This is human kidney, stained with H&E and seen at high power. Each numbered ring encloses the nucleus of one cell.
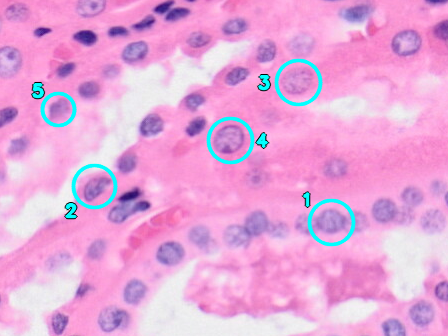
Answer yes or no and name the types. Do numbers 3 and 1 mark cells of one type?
No, cell 3 is to be identified as a proximal tubule cell and cell 1 as a collecting duct cell.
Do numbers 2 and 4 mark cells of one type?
No, cell 2 should be called a loop of Henle or distal tubule cell, and cell 4 should be called a proximal tubule cell.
